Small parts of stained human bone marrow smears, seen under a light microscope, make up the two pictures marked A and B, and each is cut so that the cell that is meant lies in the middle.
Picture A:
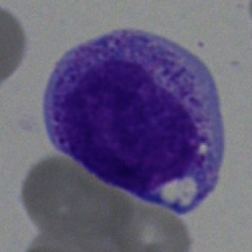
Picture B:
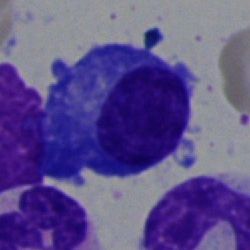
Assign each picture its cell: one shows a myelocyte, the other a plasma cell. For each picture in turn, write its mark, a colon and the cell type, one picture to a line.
A: myelocyte
B: plasma cell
